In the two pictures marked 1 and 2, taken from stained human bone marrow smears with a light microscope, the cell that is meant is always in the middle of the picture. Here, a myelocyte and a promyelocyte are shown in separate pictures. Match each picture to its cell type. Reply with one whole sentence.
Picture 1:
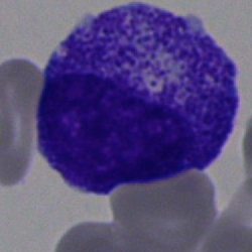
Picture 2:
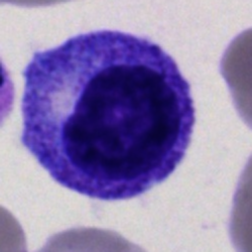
It is picture 1 that shows a myelocyte, and picture 2 that shows a promyelocyte.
